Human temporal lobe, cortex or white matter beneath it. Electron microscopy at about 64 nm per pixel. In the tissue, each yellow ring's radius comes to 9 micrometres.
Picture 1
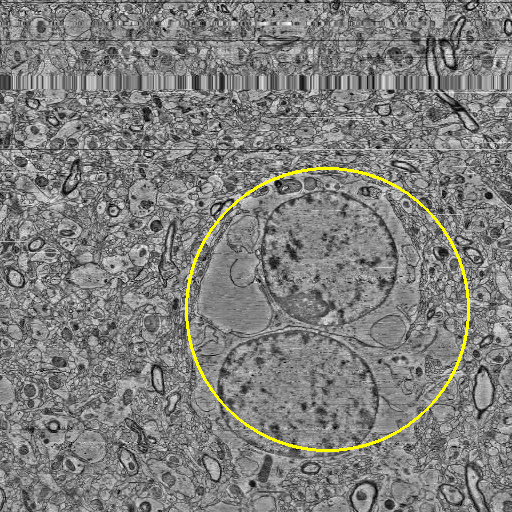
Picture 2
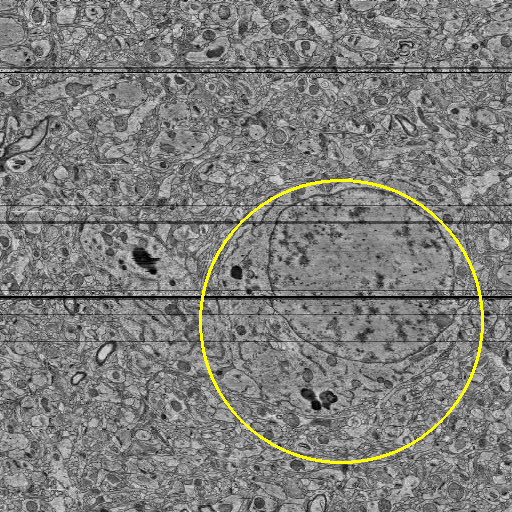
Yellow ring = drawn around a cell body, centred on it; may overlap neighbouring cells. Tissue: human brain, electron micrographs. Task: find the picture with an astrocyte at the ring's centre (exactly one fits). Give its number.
1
